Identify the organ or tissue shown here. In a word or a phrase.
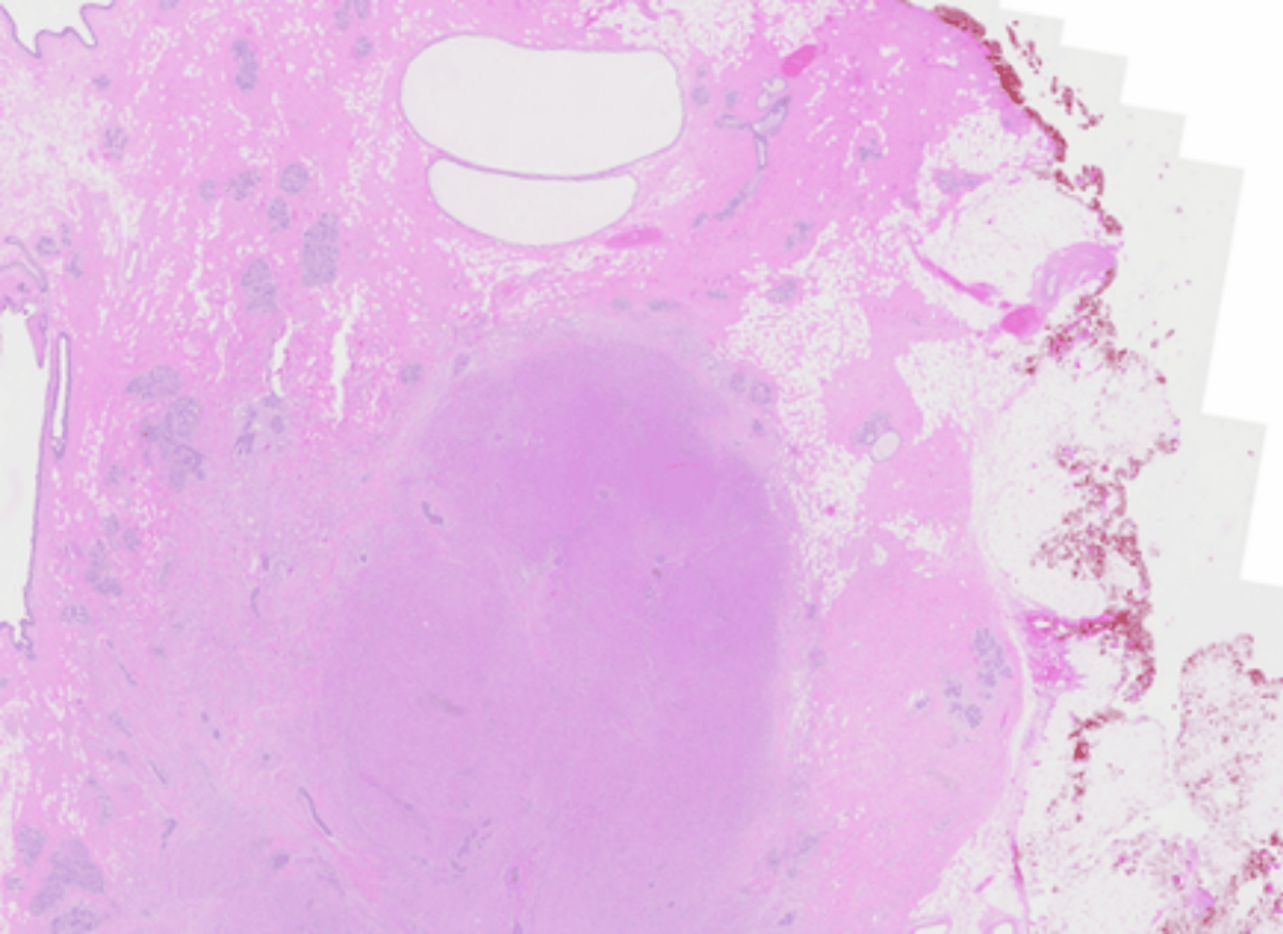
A: Breast parenchyma.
